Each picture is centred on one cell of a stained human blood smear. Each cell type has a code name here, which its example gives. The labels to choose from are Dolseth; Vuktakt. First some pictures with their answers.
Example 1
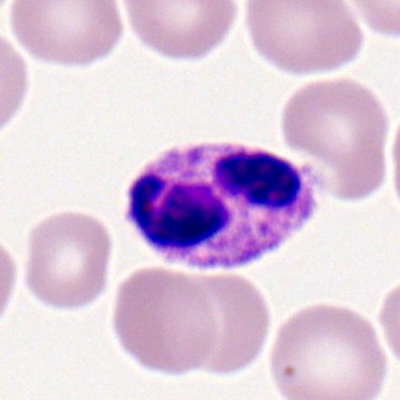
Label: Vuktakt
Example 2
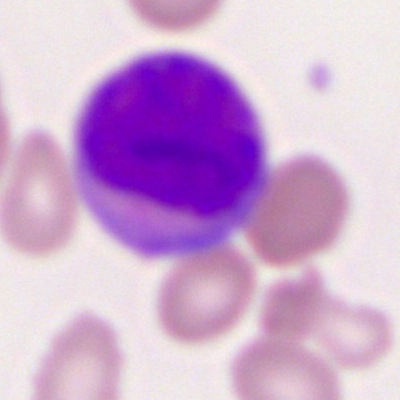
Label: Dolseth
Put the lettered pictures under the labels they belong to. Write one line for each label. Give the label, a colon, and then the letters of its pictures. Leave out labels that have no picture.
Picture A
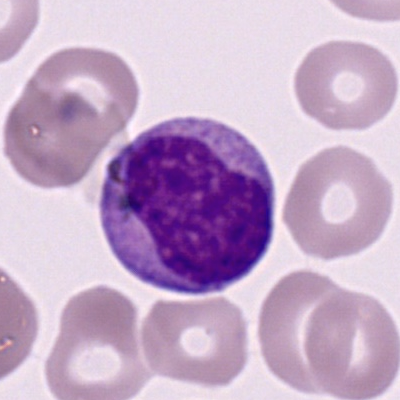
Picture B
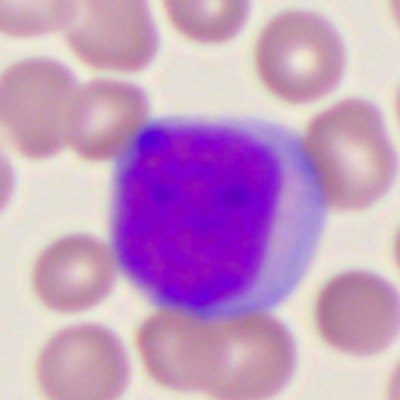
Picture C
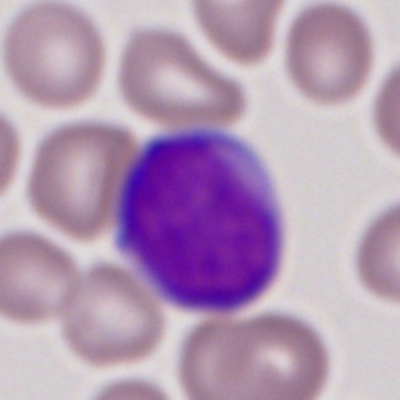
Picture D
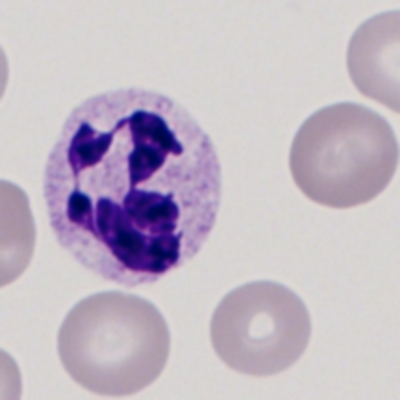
Dolseth: A, B, C
Vuktakt: D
